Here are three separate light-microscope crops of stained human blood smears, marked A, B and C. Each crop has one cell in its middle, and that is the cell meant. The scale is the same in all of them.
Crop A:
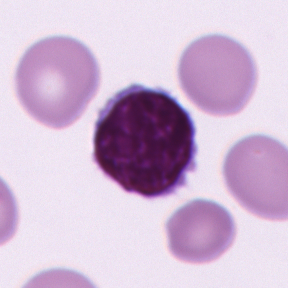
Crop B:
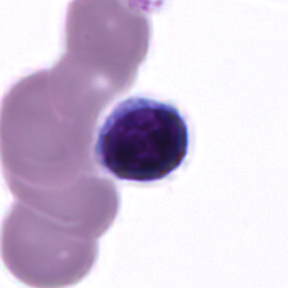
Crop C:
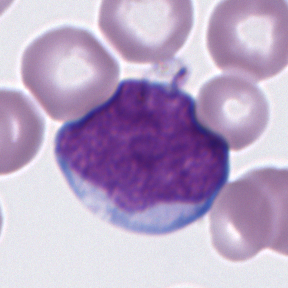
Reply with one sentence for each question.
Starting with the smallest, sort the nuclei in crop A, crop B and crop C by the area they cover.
Going up, they run B, A, C.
